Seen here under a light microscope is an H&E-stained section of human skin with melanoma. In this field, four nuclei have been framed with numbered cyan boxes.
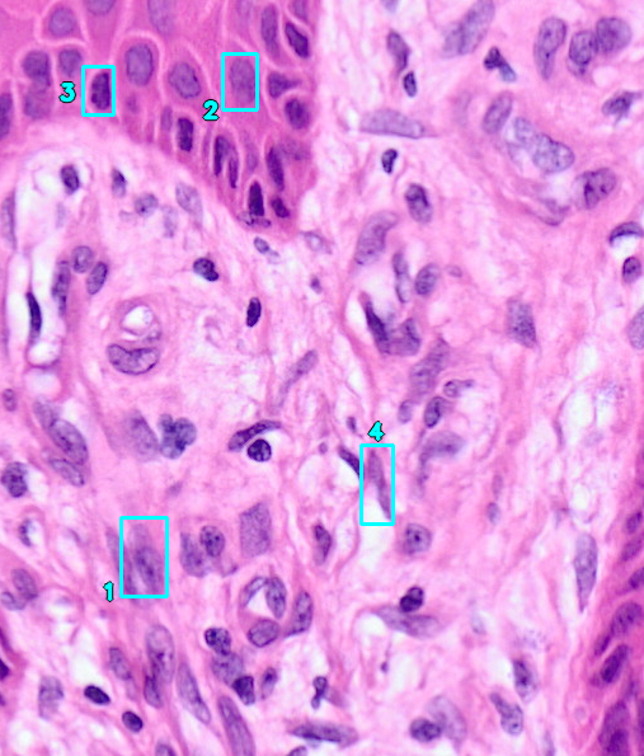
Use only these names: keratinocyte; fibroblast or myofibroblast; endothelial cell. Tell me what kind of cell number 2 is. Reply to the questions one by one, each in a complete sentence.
The cell referenced by the number 2 is a keratinocyte in this field.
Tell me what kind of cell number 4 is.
At number 4, the marked cell is a fibroblast or myofibroblast.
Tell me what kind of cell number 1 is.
Number 1 is placed on an endothelial cell here.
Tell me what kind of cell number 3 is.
The one labeled 3 is a keratinocyte, to put it simply.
